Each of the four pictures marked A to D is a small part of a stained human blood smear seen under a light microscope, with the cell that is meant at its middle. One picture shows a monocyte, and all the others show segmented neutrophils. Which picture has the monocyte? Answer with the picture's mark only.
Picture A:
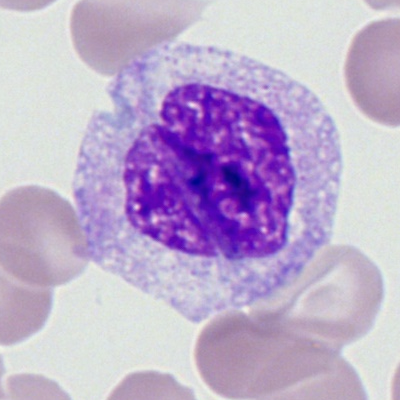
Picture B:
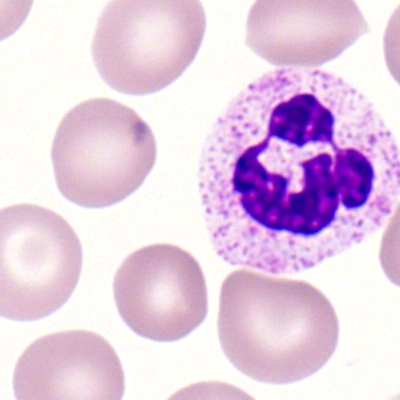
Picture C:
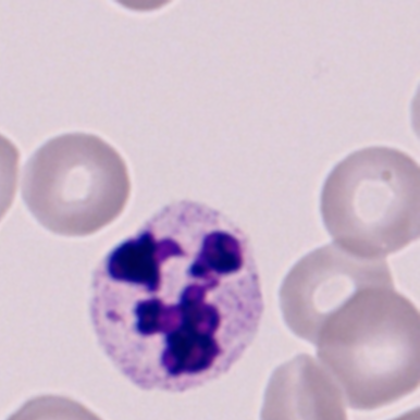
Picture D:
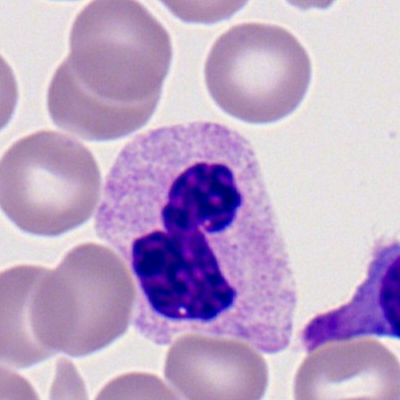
A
